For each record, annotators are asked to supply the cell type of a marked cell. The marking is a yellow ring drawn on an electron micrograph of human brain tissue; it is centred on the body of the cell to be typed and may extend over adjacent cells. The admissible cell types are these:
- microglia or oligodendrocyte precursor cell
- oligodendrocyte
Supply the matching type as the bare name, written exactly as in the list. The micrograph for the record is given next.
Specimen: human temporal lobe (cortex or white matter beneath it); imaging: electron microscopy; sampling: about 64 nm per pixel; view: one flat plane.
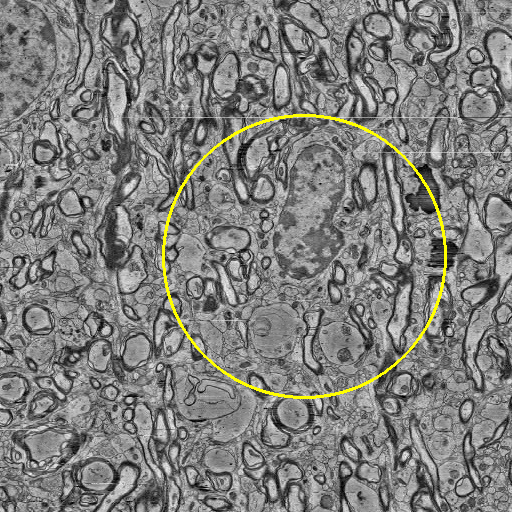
microglia or oligodendrocyte precursor cell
